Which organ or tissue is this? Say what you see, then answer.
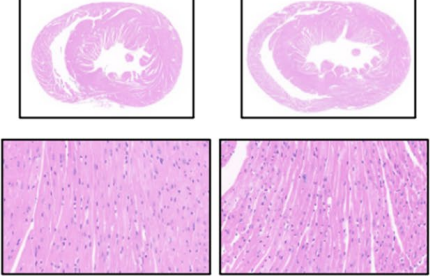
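Heart. Whole cross-sections show a thick-walled ring around a central cavity with a thinner crescent-shaped wall beside it. Enlarged views show long pink fibres with elongated nuclei in parallel rows.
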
